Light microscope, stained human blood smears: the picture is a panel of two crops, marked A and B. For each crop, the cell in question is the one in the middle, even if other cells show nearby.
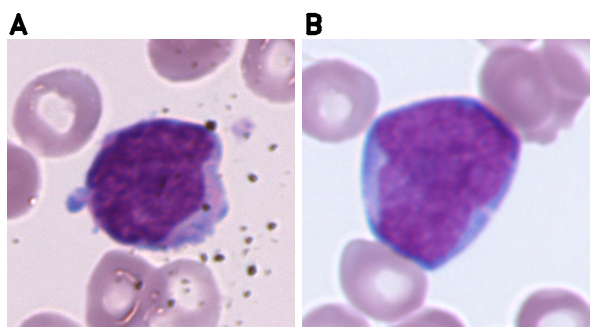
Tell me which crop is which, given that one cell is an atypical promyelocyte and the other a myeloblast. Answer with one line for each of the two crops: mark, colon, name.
A: atypical promyelocyte
B: myeloblast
